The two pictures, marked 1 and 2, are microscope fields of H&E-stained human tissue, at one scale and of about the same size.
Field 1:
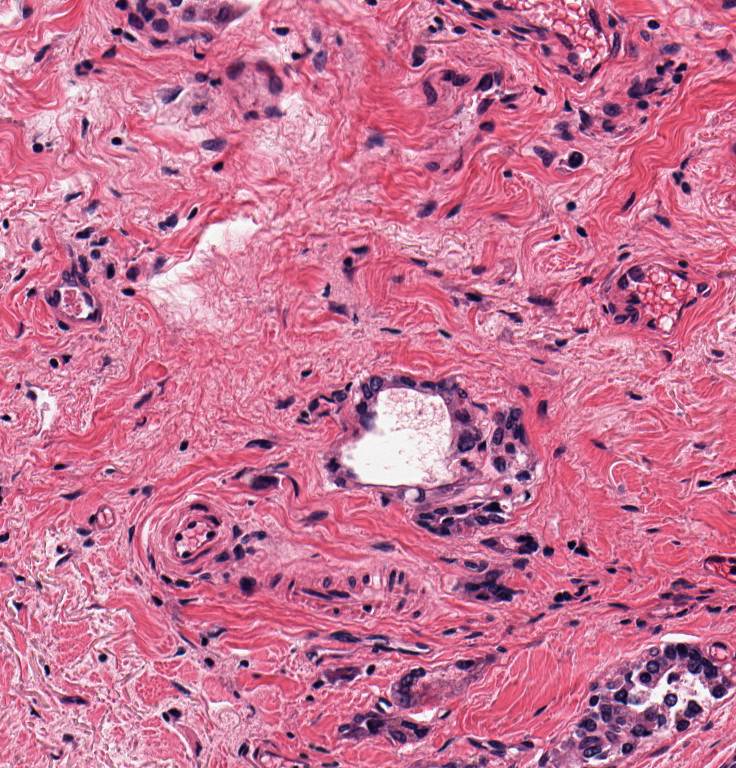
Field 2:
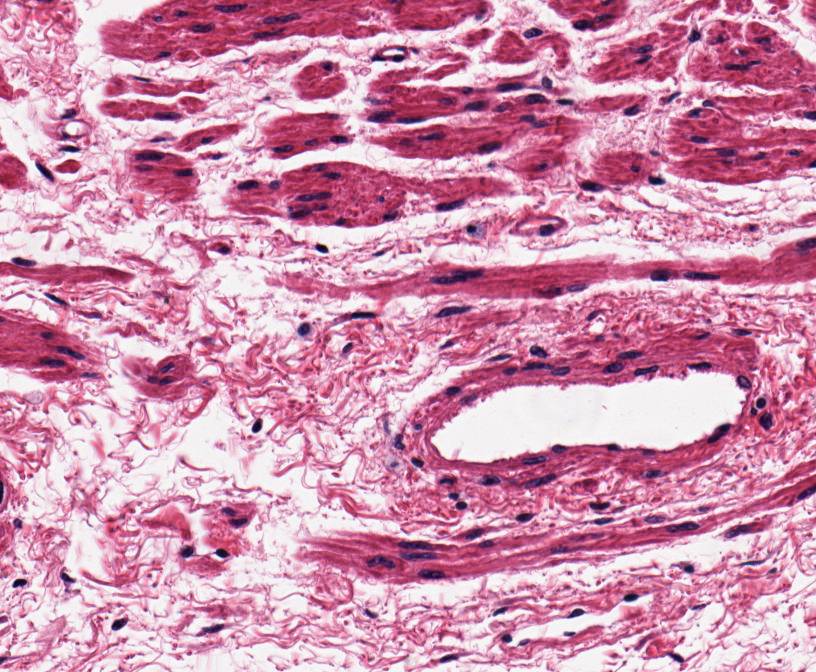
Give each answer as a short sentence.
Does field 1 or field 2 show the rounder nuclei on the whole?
On the whole the nuclei of field 1 are rounder than those of field 2.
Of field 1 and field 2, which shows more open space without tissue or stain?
More of field 2 is empty and white.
